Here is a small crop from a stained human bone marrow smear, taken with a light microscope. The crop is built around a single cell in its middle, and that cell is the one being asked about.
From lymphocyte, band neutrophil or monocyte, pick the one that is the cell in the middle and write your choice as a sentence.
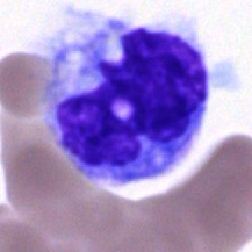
The crop centres on a single cell, and that cell is a monocyte.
